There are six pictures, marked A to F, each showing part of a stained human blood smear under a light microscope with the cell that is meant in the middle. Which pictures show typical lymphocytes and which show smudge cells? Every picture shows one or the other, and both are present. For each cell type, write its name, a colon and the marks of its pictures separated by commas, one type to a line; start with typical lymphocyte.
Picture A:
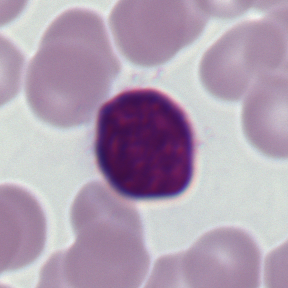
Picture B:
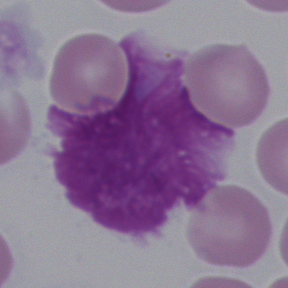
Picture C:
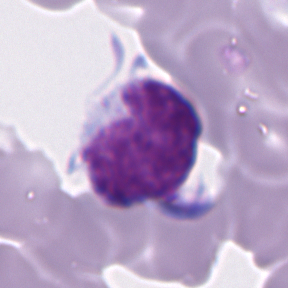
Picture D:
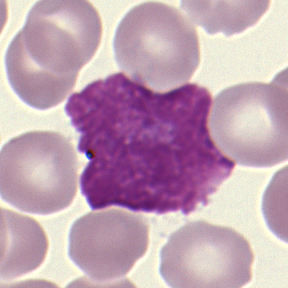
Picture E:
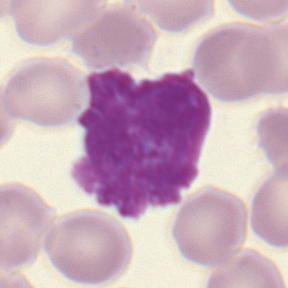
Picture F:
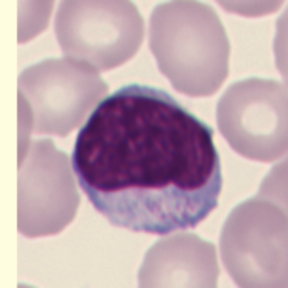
typical lymphocyte: C, F
smudge cell: A, B, D, E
